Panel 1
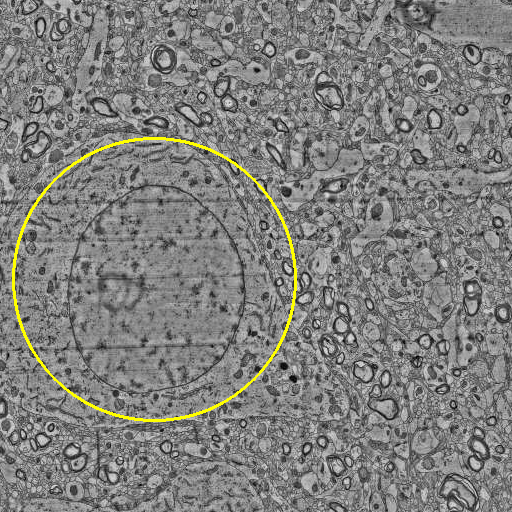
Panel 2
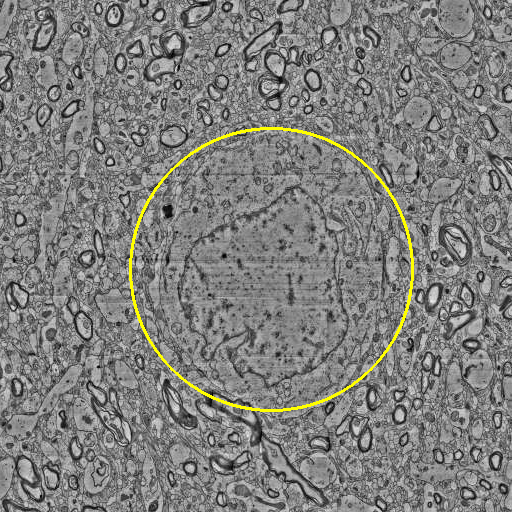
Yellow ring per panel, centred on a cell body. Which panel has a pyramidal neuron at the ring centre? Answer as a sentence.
Panel 1 shows it at the ring centre.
